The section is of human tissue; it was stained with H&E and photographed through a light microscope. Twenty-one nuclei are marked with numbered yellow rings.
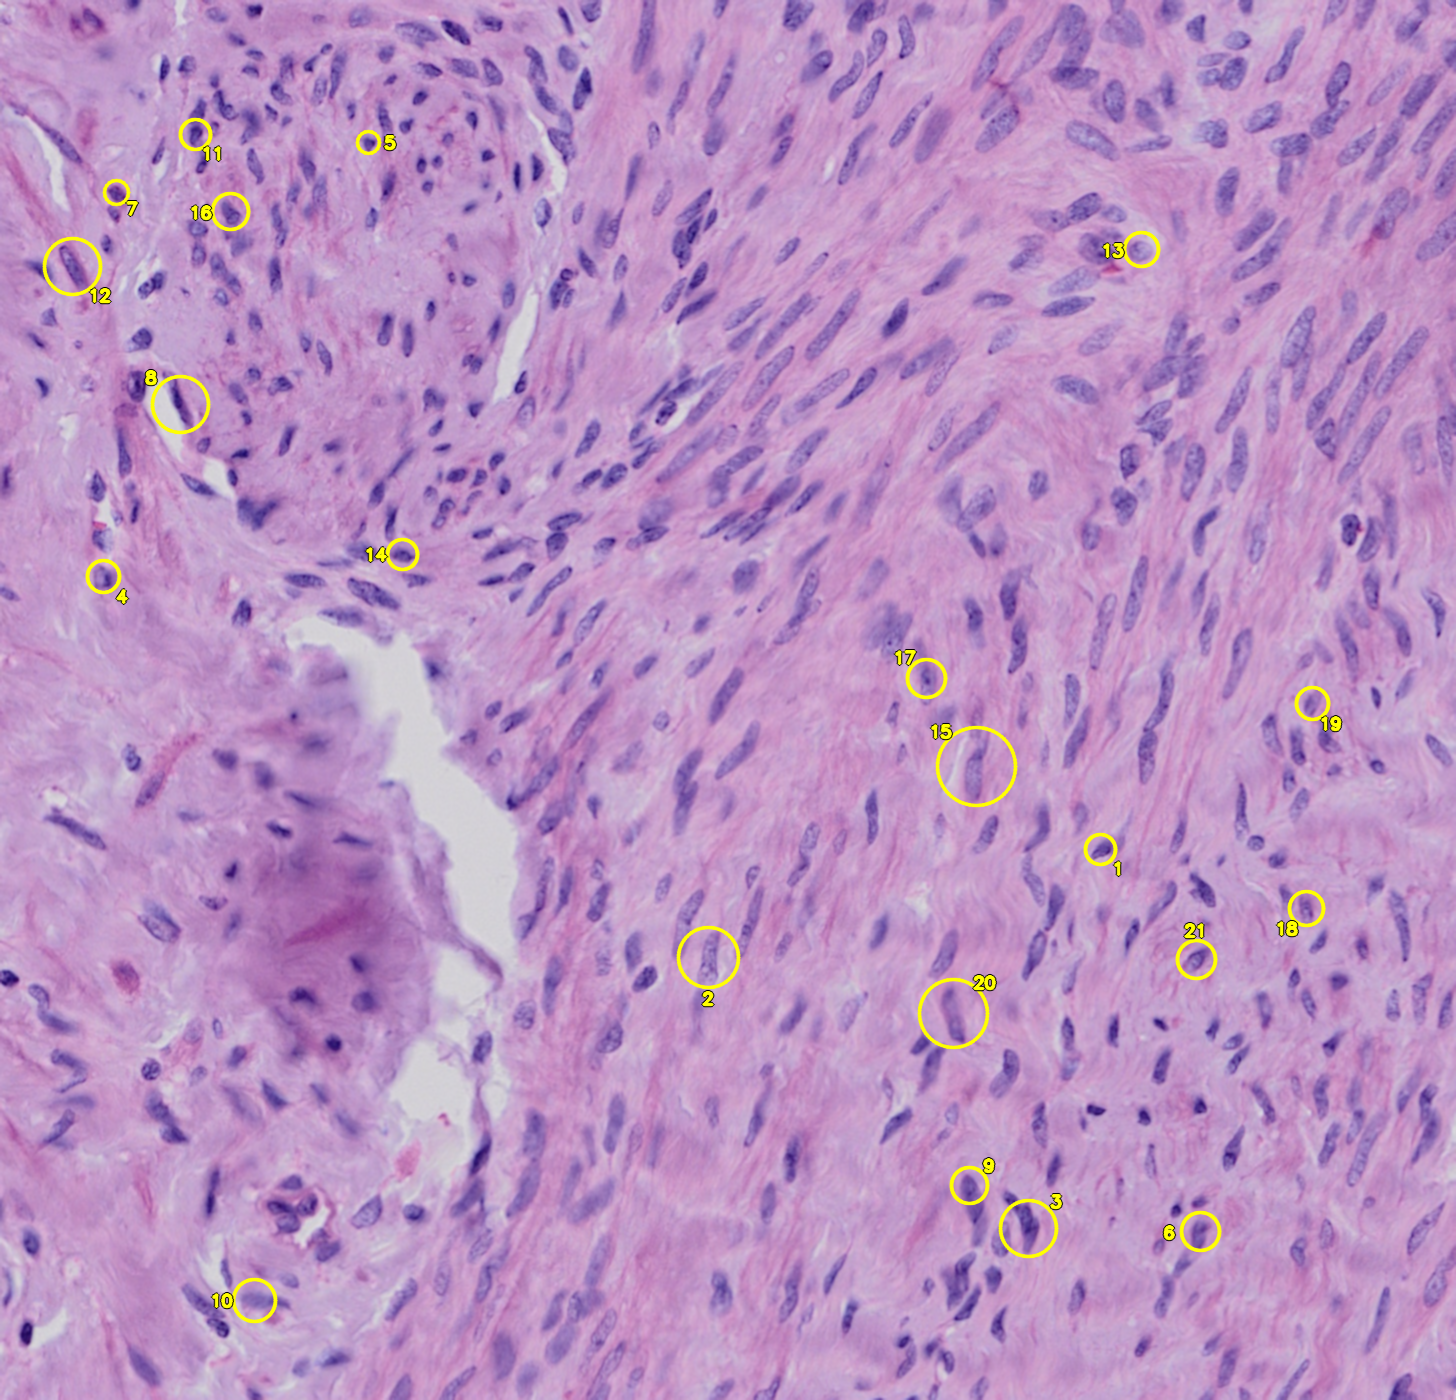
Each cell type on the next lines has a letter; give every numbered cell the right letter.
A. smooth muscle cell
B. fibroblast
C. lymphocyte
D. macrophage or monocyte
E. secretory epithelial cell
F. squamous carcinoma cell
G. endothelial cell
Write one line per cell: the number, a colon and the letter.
1: B
2: B
3: B
4: G
5: A
6: A
7: A
8: G
9: B
10: B
11: B
12: A
13: G
14: B
15: A
16: A
17: A
18: A
19: A
20: A
21: A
